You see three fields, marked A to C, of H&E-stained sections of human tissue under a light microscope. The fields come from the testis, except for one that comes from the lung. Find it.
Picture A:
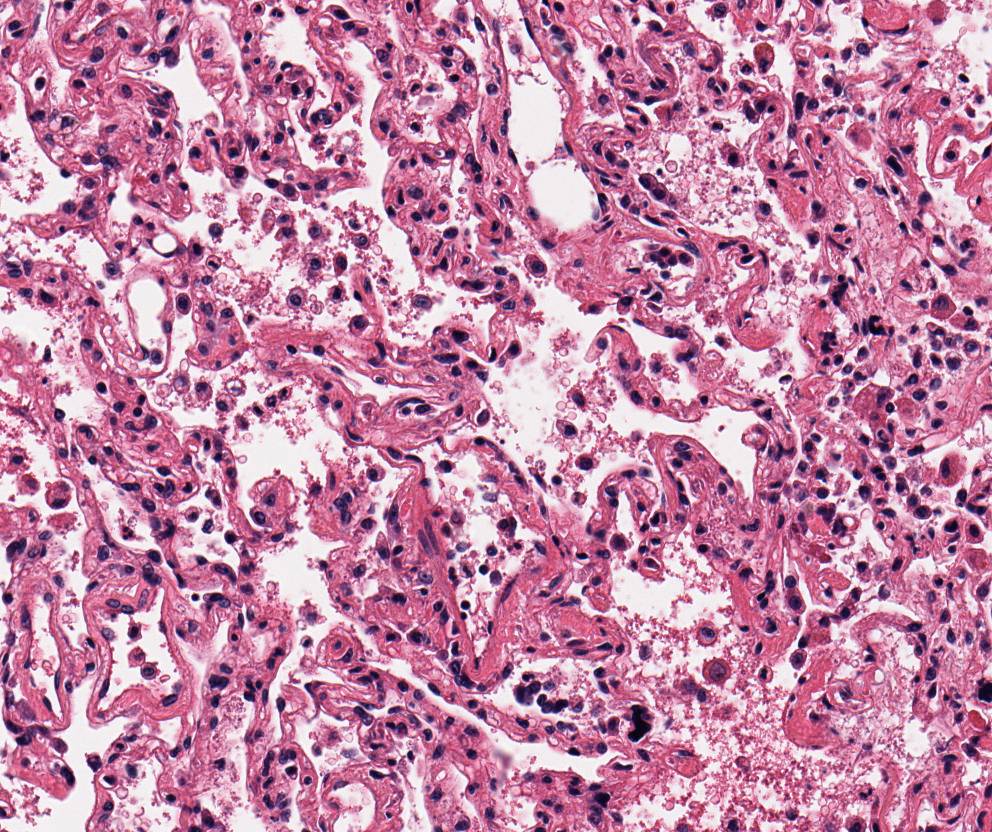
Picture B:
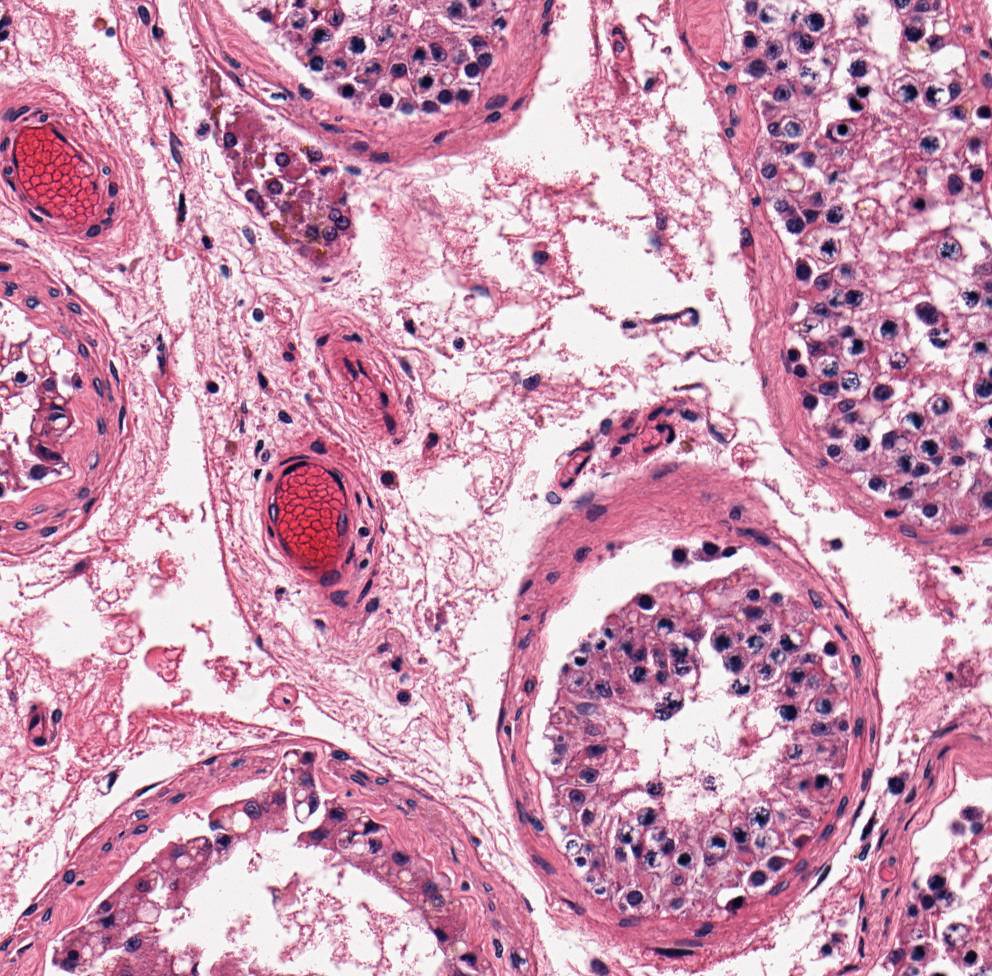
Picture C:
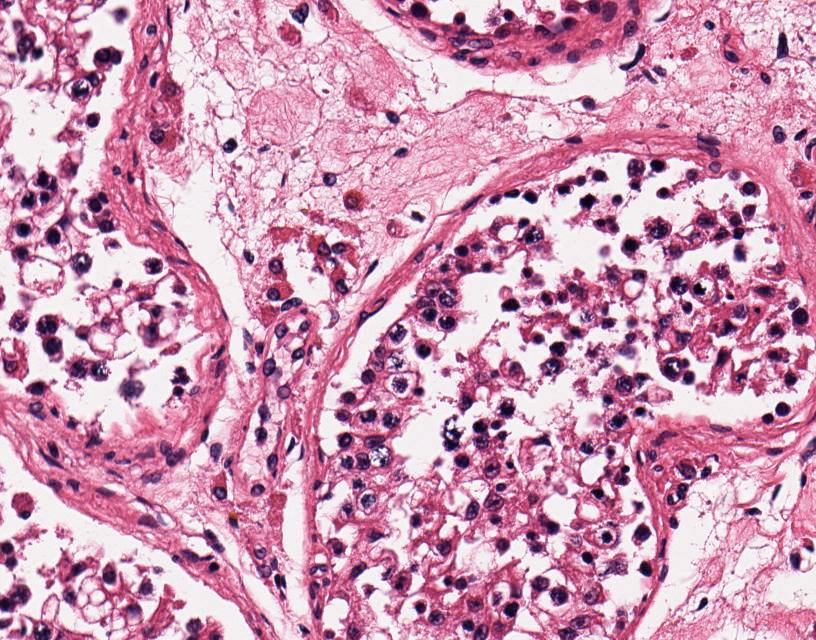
A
